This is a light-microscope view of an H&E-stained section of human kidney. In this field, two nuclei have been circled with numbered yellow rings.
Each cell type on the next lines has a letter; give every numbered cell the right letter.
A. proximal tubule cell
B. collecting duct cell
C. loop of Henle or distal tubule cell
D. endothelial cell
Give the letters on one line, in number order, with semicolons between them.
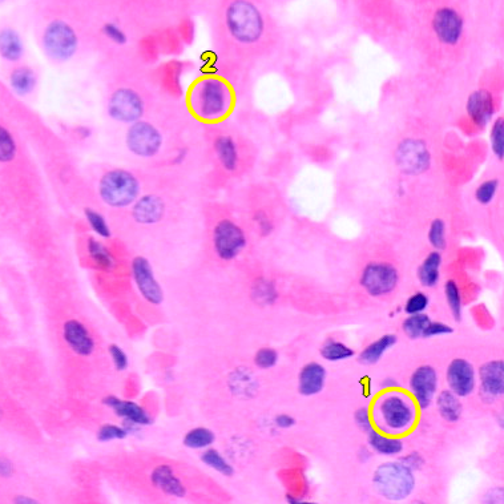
B; A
